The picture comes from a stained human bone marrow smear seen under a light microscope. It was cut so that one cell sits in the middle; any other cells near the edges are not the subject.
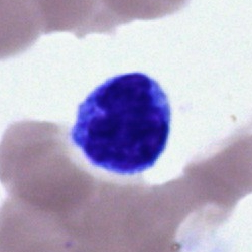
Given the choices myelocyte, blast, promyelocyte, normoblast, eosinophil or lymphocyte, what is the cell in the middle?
lymphocyte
